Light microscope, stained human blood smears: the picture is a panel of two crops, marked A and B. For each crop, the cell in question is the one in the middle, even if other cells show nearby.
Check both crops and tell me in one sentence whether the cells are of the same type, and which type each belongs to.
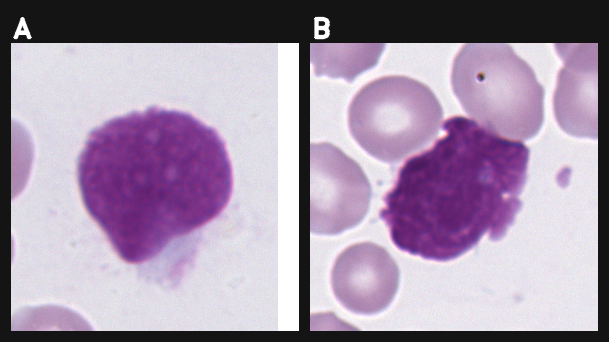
Yes, both crops are centred on cells that are smudge cells.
